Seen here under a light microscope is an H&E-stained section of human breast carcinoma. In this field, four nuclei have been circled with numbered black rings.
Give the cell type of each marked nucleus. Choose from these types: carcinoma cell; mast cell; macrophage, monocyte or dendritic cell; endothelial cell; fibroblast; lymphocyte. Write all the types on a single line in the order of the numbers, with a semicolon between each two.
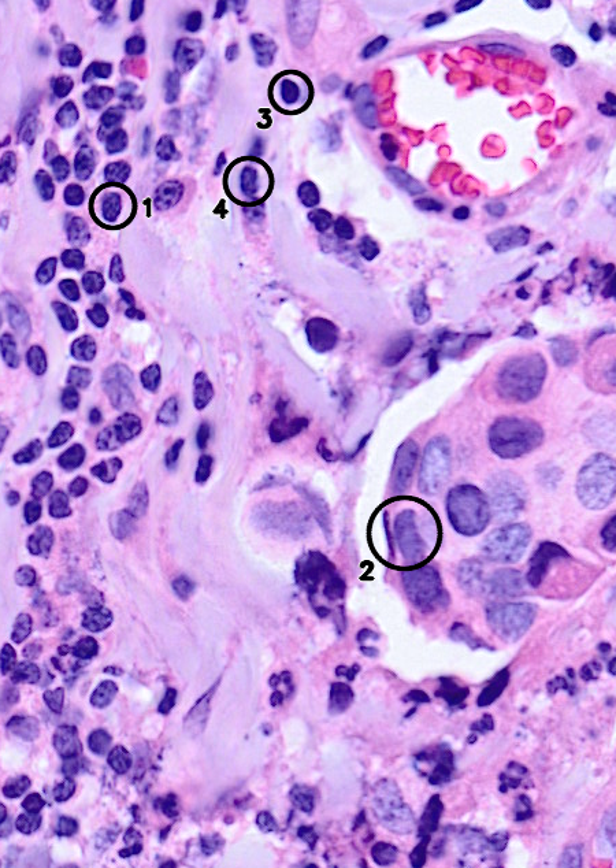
lymphocyte; carcinoma cell; lymphocyte; lymphocyte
